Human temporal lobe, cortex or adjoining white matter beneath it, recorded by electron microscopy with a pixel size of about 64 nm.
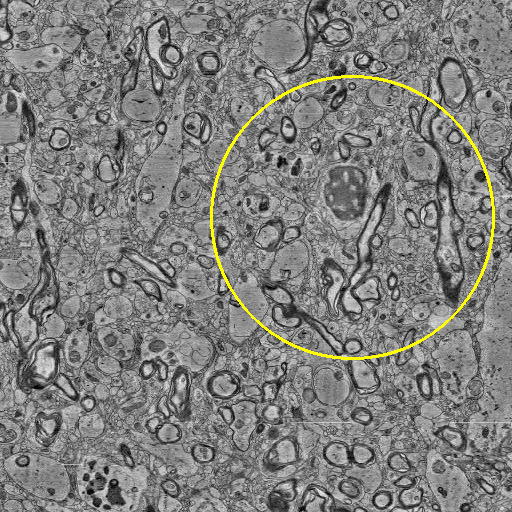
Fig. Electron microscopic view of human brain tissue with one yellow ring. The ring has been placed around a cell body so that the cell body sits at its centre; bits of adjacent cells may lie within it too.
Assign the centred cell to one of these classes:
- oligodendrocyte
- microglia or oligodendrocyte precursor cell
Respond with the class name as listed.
microglia or oligodendrocyte precursor cell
